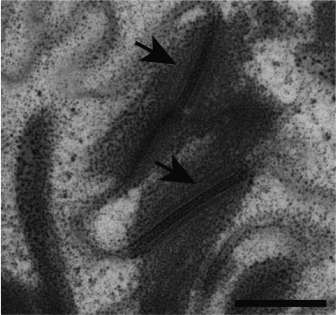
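Here the borders between skin cells are seen at high magnification, with desmosomes along them. The cytoplasm on both sides is dark and packed with bundles of filaments. The desmosomes appear as straight, sharply drawn pairs of dense plates separated by a narrow, even gap. Elsewhere the cell membranes wind and fold between the cells, leaving pale spaces.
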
